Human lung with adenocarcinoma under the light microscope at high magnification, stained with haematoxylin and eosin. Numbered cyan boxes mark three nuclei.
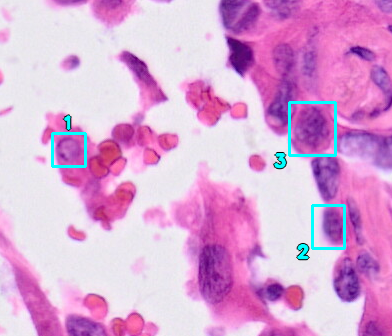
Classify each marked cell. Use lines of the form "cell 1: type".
cell 1: macrophage or monocyte
cell 2: carcinoma cell
cell 3: carcinoma cell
